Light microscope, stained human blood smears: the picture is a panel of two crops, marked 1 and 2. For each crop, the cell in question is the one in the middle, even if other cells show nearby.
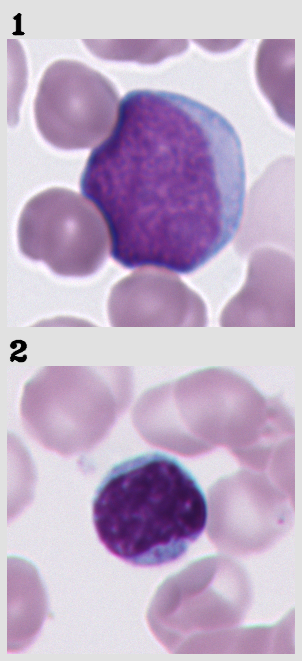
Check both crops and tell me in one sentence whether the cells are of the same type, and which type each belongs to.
No, a typical lymphocyte is the cell in crop 2, and crop 1 contains a myeloblast.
